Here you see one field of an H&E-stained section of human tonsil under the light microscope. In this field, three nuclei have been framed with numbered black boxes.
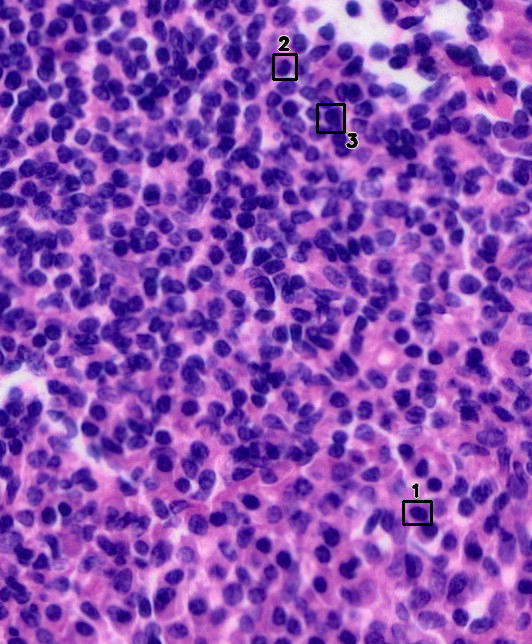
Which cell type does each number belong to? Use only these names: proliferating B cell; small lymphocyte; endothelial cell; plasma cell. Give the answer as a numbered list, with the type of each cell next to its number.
1. plasma cell
2. small lymphocyte
3. small lymphocyte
